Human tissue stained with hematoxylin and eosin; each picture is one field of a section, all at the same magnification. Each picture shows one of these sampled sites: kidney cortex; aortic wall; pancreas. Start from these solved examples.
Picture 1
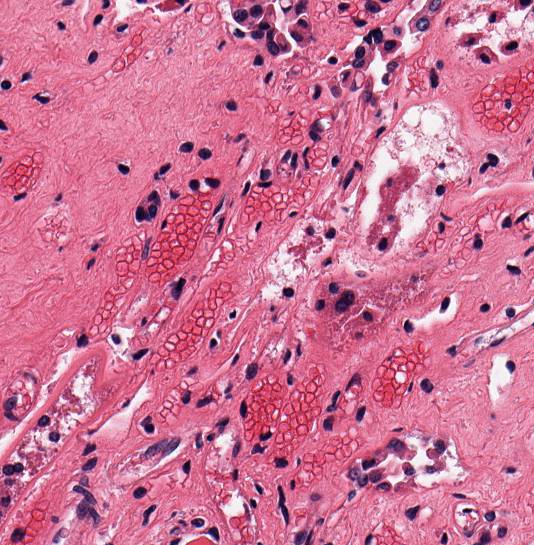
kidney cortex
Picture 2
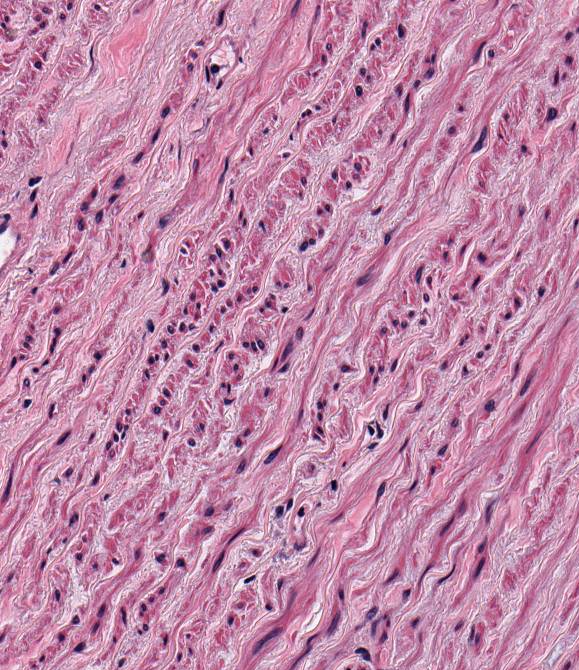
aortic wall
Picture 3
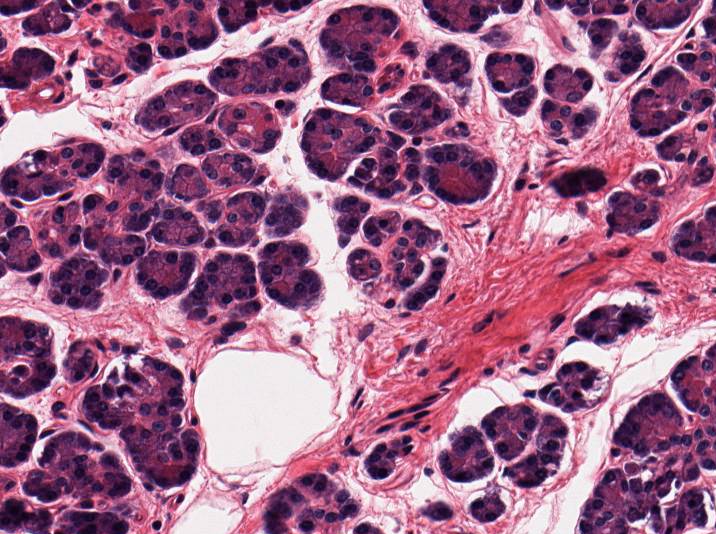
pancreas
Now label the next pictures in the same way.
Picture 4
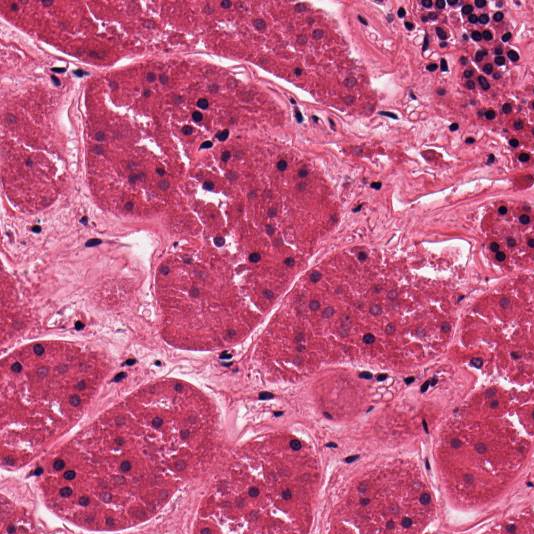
kidney cortex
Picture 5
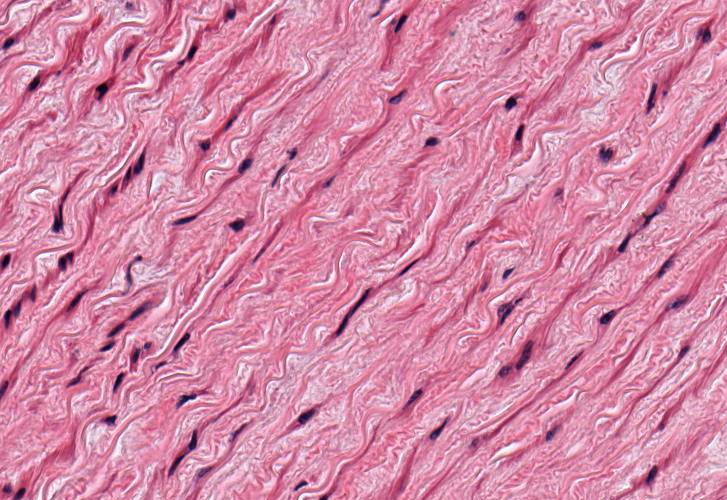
aortic wall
